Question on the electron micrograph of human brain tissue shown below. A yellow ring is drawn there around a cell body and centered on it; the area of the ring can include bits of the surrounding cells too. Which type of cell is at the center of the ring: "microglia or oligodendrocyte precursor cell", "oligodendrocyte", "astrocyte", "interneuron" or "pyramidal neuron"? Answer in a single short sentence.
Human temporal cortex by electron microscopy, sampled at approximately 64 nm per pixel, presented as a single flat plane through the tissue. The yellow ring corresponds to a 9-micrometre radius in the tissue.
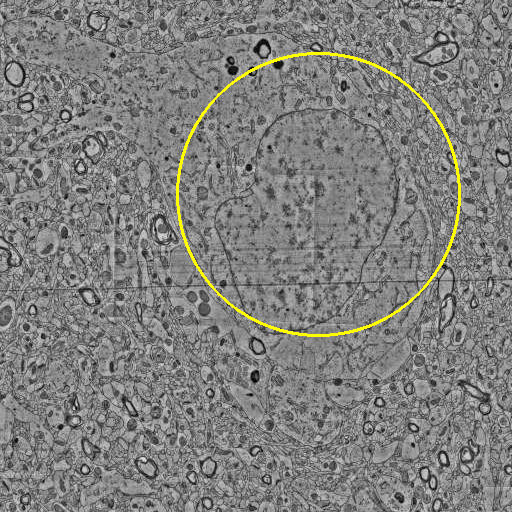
The ring is centered on a pyramidal neuron.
